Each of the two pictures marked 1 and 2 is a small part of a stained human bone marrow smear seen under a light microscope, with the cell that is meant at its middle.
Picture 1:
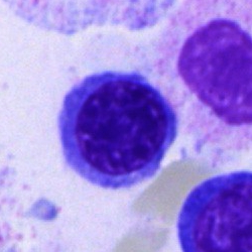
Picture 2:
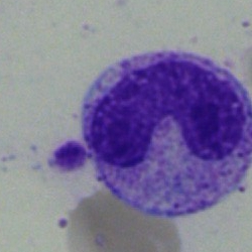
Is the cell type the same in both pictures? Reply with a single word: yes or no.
no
